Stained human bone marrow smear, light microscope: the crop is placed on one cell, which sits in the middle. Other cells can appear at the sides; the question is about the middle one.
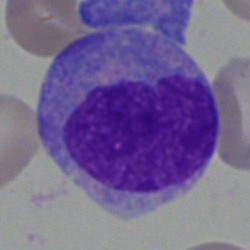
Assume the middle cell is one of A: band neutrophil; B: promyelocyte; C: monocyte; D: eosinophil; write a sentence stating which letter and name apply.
The cell in the middle is a monocyte, and that makes option C correct.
